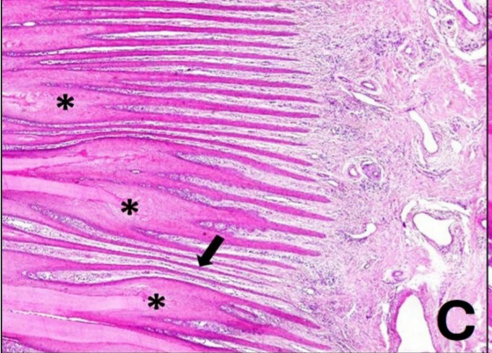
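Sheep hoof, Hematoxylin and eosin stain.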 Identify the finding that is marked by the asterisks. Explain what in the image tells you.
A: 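At the asterisks neighbouring strands merge into broader pink bands. The strands are of uneven width and length. On this evidence: fusion and shortening.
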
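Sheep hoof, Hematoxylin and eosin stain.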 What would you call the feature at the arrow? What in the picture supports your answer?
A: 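Epidermal laminae. Long parallel pink keratinized strands run across the left part of the panel. The strand at the arrow is thin and narrower than its neighbours.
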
